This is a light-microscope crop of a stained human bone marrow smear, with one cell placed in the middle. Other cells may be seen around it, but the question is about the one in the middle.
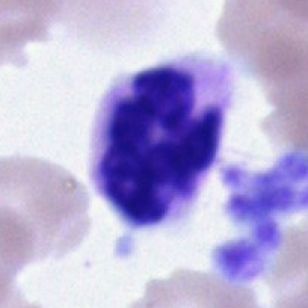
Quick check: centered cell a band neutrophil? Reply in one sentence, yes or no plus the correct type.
No, the central cell is identified not as a band neutrophil but as a segmented neutrophil.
